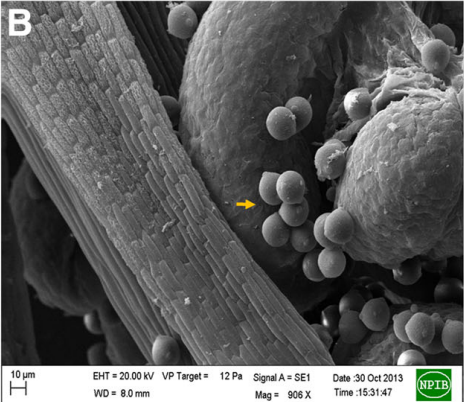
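This scanning electron micrograph shows numerous pollen grains lying on the surface of anthers. The grains are small, smooth and nearly spherical, all of much the same size, and they gather in clusters on the rounded anther surface and in the crevices beside it. To the left runs a long elongated organ whose surface is covered by rows of narrow, rectangular epidermal cells arranged end to end along its length. Behind the grains, the rounded anther surface shows a finely textured pattern of small cells. The grains appear plump and undamaged.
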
